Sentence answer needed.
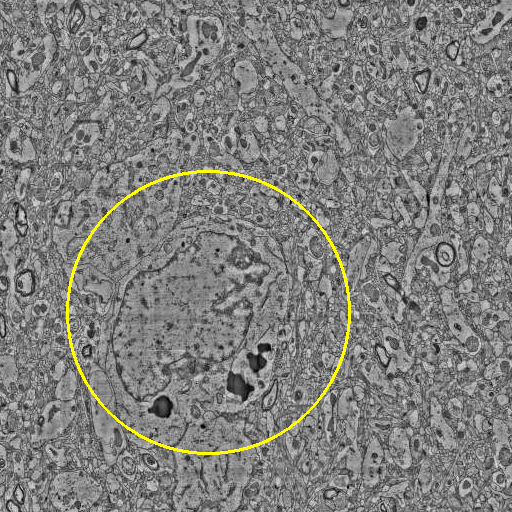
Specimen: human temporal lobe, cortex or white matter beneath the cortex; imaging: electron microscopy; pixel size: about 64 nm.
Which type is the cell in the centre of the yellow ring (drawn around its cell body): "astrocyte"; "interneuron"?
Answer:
In the centre of the yellow ring is an interneuron.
